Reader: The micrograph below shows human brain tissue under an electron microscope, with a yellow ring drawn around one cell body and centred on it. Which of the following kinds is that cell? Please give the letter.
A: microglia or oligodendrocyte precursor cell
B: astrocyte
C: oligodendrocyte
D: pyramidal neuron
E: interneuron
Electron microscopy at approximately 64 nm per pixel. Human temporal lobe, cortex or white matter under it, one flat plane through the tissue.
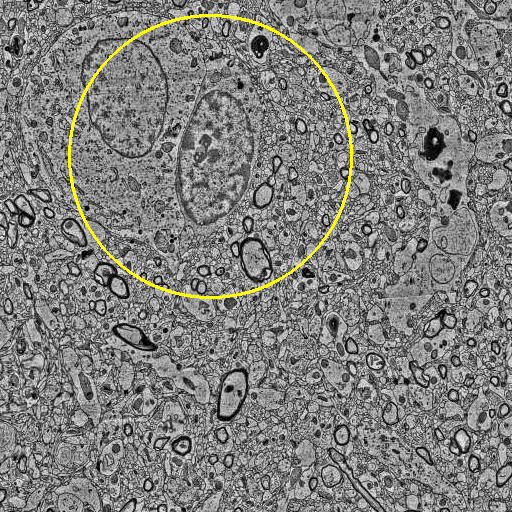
C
